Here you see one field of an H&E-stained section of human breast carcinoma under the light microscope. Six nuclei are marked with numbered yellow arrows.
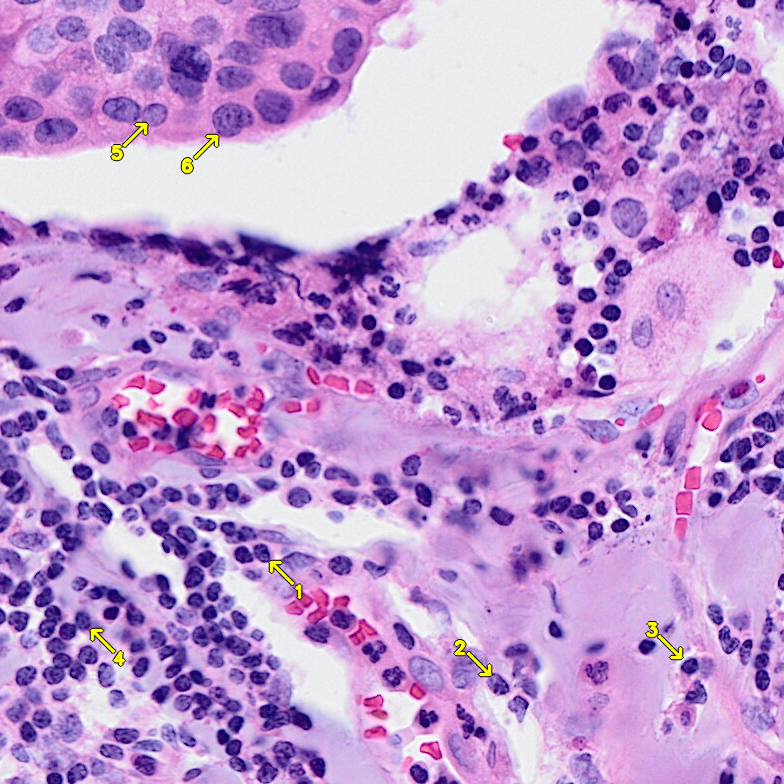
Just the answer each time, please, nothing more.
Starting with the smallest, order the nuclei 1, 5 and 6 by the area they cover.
1, 5, 6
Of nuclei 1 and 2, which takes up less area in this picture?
1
